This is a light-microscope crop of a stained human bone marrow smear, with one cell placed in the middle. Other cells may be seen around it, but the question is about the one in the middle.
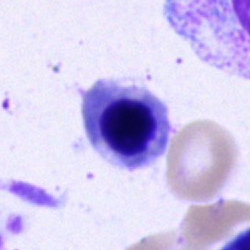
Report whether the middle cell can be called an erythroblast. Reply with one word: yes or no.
yes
